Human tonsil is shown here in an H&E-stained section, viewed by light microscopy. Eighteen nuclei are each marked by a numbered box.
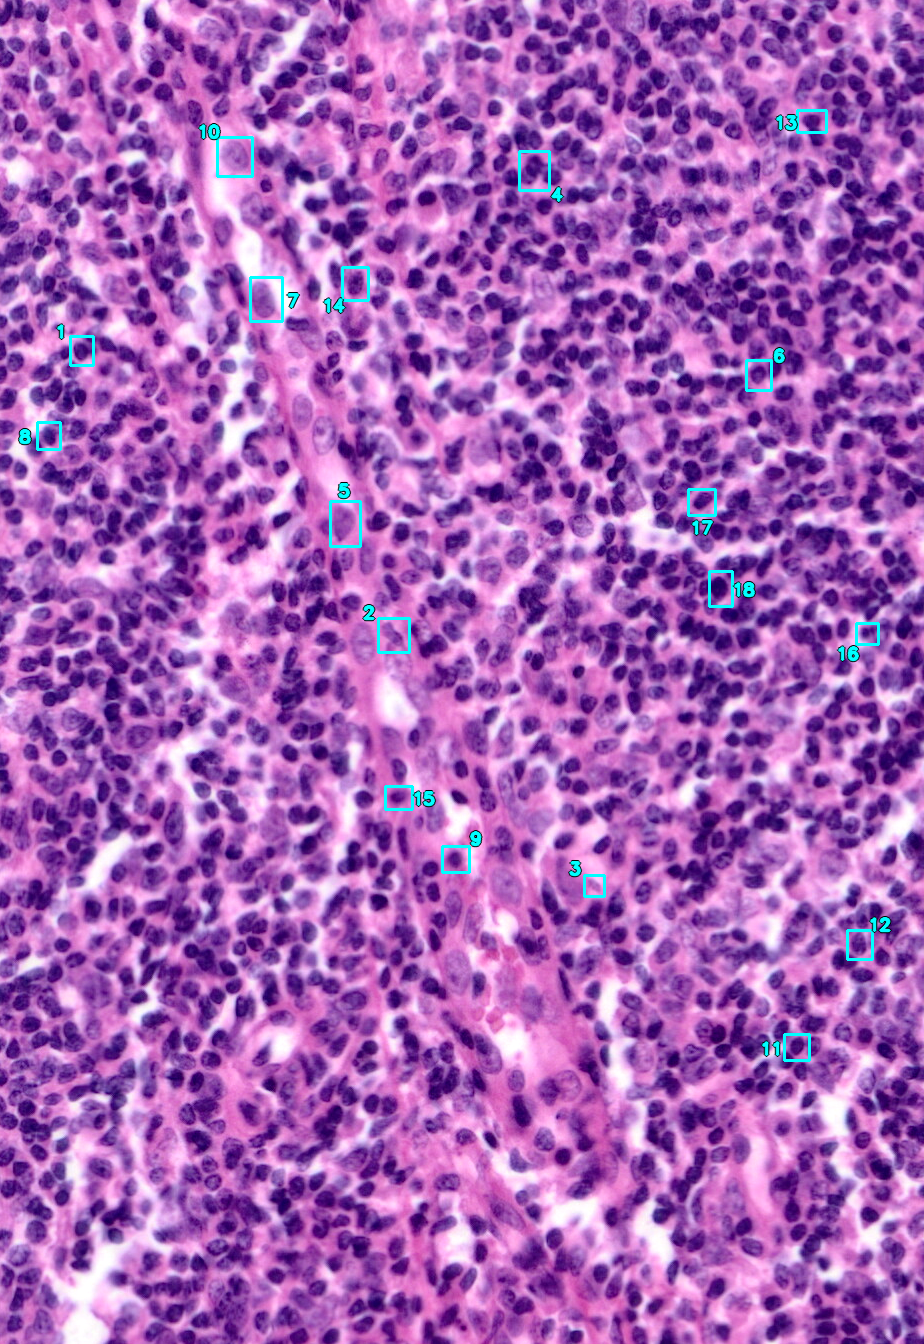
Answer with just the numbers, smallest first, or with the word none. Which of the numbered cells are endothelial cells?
2, 3, 5, 7, 9, 10, 15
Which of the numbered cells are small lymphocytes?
1, 4, 6, 8, 11, 12, 13, 16, 17, 18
